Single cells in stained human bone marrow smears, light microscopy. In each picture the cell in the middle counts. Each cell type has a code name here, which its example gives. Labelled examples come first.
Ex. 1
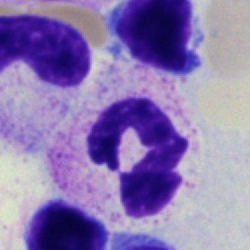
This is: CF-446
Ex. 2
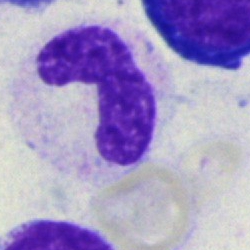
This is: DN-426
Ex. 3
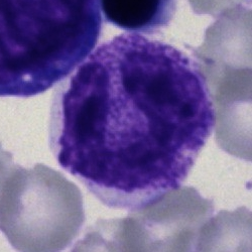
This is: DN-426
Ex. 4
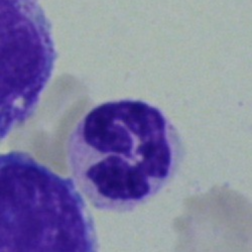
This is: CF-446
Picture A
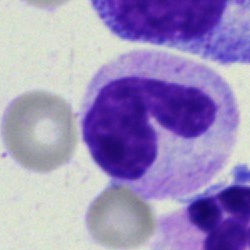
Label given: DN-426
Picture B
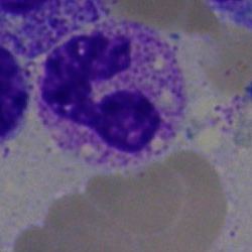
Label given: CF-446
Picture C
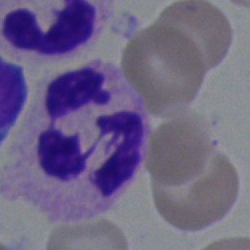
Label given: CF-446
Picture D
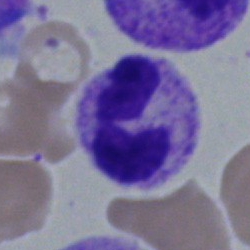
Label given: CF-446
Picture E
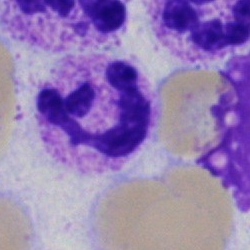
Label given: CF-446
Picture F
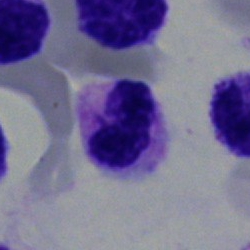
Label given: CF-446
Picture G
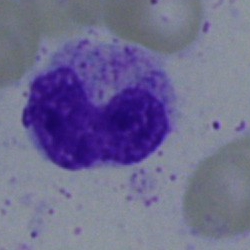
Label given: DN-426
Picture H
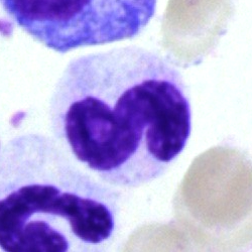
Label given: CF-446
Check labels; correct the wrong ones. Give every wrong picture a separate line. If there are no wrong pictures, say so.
H is labelled CF-446; correct label: DN-426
